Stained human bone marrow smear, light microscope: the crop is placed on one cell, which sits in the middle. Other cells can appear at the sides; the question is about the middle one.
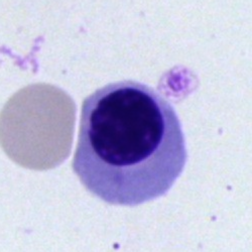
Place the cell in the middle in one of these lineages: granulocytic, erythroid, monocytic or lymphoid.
erythroid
